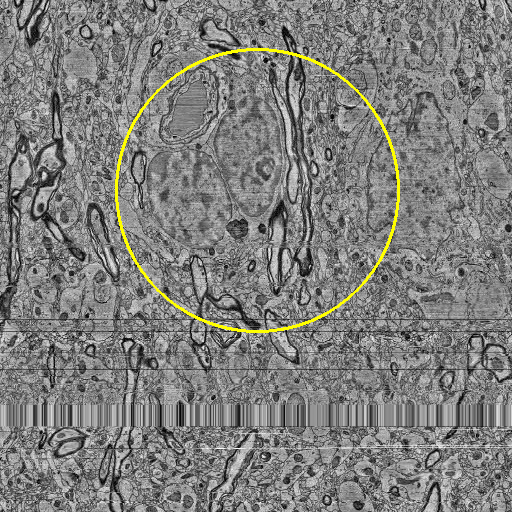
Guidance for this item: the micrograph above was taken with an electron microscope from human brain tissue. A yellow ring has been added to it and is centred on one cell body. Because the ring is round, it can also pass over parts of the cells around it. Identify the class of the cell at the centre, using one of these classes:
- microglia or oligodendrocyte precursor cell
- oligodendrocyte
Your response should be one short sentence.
The ring surrounds the body of an oligodendrocyte.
